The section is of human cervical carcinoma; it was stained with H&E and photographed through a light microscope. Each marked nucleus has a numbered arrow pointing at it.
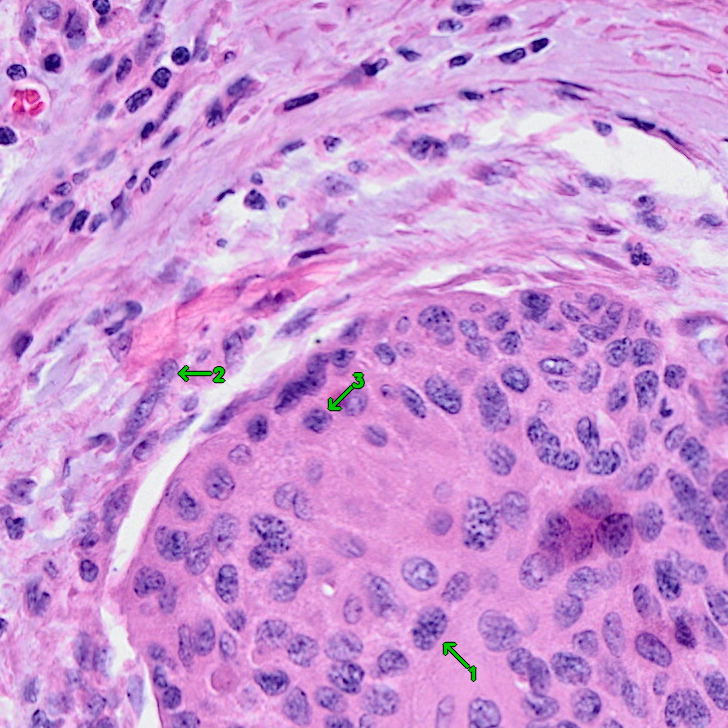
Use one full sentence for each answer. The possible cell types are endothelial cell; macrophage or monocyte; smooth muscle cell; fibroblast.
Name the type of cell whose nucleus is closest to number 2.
It is an endothelial cell whose nucleus is nearest to number 2.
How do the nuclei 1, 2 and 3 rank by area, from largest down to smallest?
Going from the biggest nucleus down to the smallest gives 1, 2, 3.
